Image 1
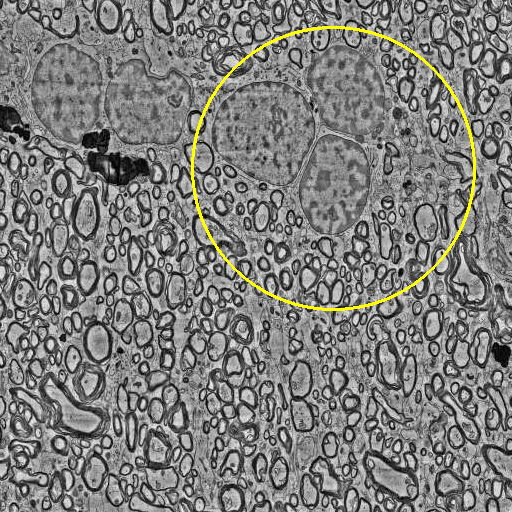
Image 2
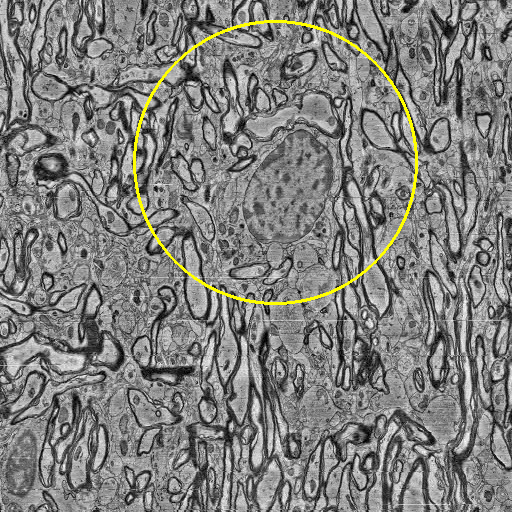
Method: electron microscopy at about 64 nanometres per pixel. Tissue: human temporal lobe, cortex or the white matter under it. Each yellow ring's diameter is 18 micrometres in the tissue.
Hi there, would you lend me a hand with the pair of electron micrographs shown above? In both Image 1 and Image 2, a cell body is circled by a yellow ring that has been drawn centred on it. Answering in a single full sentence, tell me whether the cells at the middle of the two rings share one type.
Yes, the ringed cells in Image 1 and Image 2 share one type.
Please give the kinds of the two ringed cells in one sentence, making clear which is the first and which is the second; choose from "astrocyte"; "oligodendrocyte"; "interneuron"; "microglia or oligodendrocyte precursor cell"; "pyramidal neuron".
Both cells are the same kind, each one being a microglial cell or oligodendrocyte precursor cell.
